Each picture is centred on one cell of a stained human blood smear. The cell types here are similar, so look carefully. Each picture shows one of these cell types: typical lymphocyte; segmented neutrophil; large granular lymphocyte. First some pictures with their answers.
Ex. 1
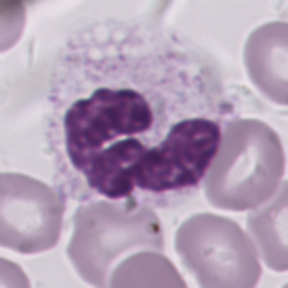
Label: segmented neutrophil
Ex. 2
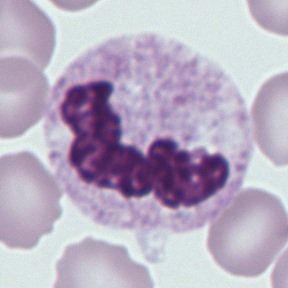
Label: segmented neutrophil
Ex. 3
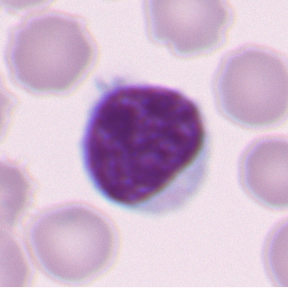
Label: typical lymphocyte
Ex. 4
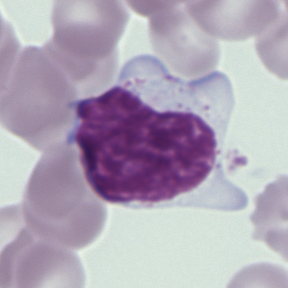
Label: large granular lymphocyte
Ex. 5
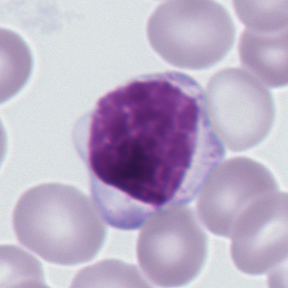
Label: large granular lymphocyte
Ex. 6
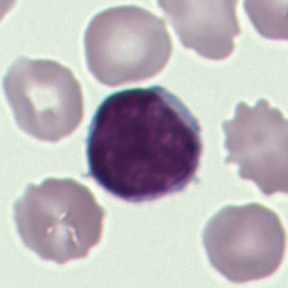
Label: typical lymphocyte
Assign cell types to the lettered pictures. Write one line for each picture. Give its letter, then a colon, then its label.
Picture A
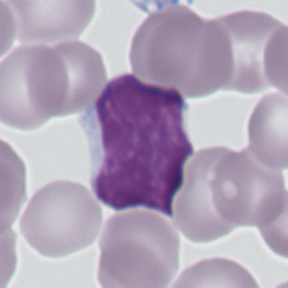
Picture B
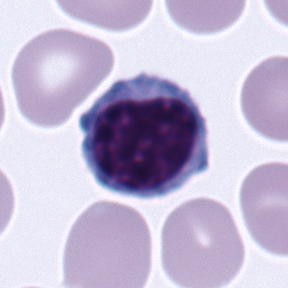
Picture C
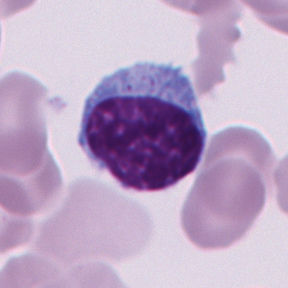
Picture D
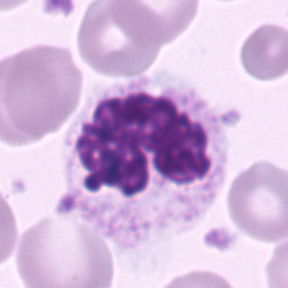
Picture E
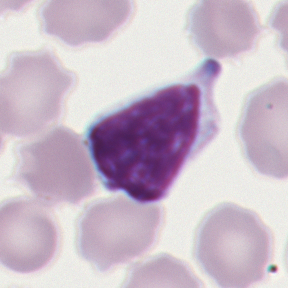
A: typical lymphocyte
B: typical lymphocyte
C: typical lymphocyte
D: segmented neutrophil
E: typical lymphocyte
